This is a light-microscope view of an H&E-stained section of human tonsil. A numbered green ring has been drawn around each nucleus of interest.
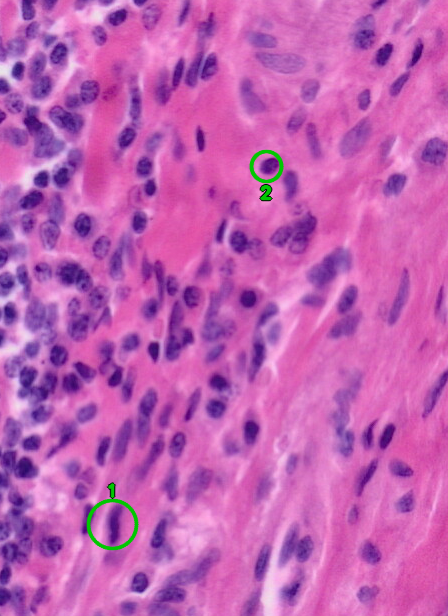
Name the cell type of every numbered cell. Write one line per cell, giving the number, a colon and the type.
1: endothelial cell
2: mast cell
